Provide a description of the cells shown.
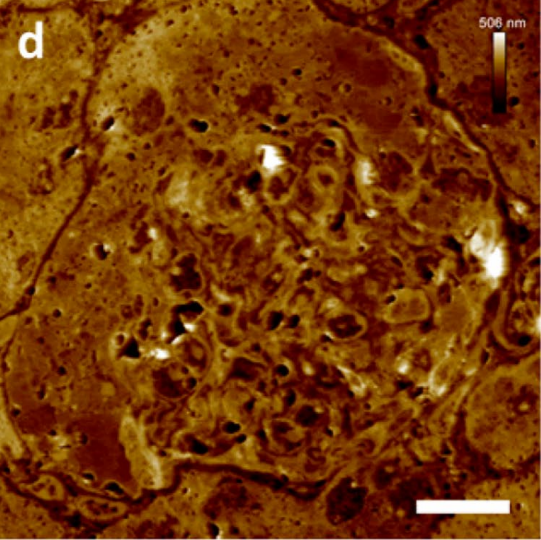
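This is kidney tissue with a single glomerulus in the middle and tubules around it. The glomerulus is a large rounded body whose interior is a dense tangle of small looped profiles with many dark holes between them, a few spots appearing bright and raised. A thin continuous line runs around it, separating it from the surrounding tissue. Outside this border the tissue is smoother and more uniform, crossed by thin lines that outline the neighbouring tubules, with scattered small dark pits.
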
